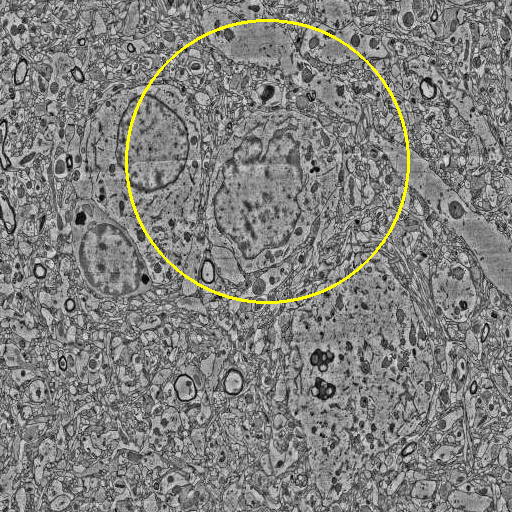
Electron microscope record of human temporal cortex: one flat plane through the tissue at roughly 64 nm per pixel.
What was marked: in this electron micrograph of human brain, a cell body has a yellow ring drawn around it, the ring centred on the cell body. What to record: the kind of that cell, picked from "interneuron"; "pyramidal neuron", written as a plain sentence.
The centred cell is an interneuron.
